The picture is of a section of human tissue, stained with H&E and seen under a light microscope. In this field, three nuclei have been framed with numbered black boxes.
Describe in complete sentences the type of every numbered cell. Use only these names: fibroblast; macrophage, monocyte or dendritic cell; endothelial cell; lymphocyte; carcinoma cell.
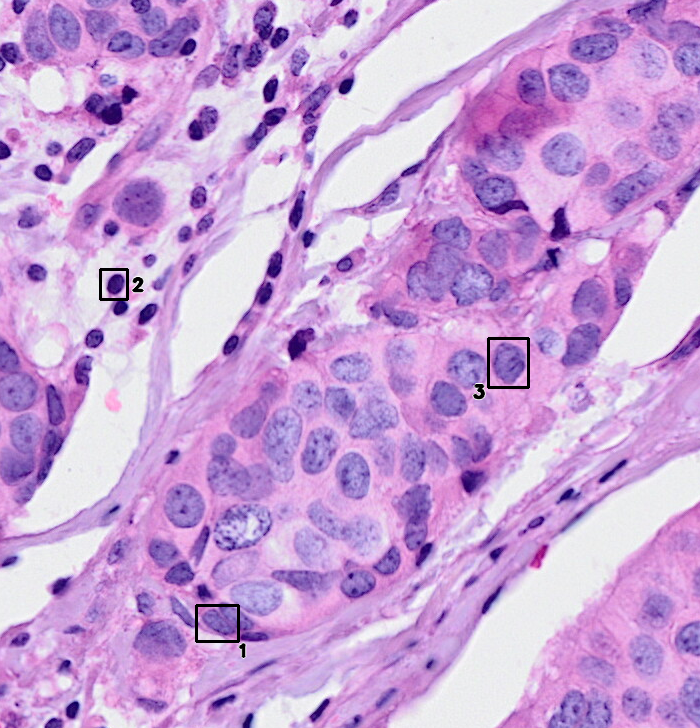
Cell 1 is a carcinoma cell, cell 2 is a lymphocyte and cell 3 is a carcinoma cell.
